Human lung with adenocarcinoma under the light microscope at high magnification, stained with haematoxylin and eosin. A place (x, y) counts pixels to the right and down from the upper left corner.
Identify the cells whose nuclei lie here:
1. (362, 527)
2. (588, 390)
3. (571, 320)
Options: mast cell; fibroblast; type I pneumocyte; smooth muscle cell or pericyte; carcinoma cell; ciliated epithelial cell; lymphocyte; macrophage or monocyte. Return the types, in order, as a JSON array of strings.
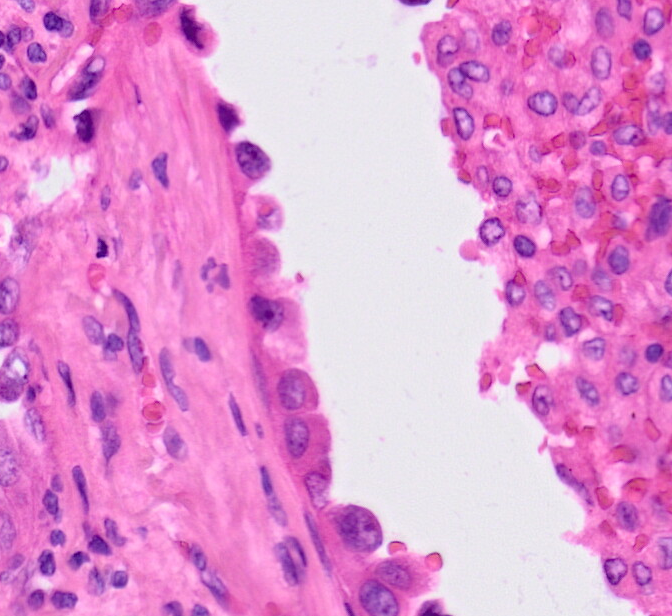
["carcinoma cell", "macrophage or monocyte", "macrophage or monocyte"]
